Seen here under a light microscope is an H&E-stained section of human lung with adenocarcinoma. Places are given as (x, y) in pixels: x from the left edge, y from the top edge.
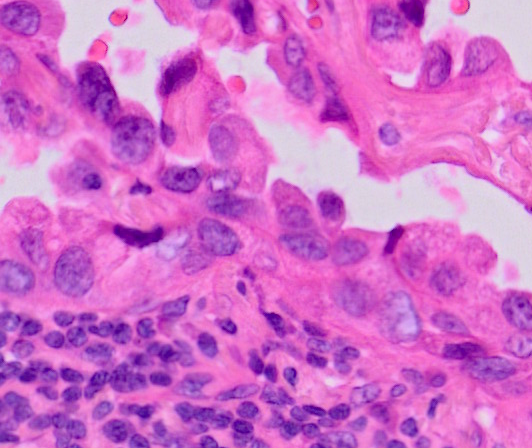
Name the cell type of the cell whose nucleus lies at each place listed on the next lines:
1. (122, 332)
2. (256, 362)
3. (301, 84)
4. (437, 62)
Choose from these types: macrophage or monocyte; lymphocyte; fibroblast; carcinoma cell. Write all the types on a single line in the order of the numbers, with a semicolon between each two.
lymphocyte; lymphocyte; carcinoma cell; carcinoma cell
